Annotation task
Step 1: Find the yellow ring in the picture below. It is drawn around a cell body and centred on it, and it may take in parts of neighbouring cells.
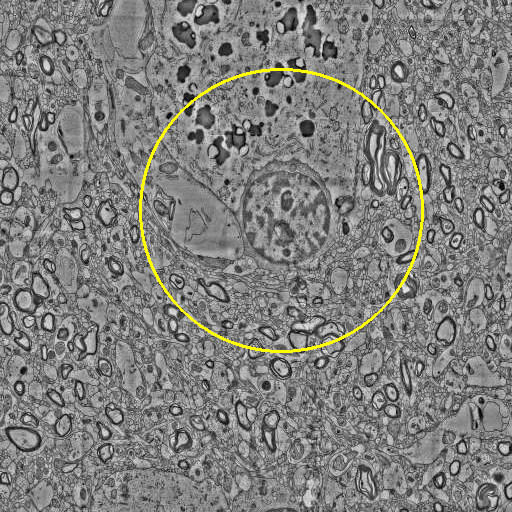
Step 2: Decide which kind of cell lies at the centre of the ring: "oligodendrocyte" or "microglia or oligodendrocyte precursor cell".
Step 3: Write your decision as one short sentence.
The kind of cell at the ring's centre is an oligodendrocyte.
